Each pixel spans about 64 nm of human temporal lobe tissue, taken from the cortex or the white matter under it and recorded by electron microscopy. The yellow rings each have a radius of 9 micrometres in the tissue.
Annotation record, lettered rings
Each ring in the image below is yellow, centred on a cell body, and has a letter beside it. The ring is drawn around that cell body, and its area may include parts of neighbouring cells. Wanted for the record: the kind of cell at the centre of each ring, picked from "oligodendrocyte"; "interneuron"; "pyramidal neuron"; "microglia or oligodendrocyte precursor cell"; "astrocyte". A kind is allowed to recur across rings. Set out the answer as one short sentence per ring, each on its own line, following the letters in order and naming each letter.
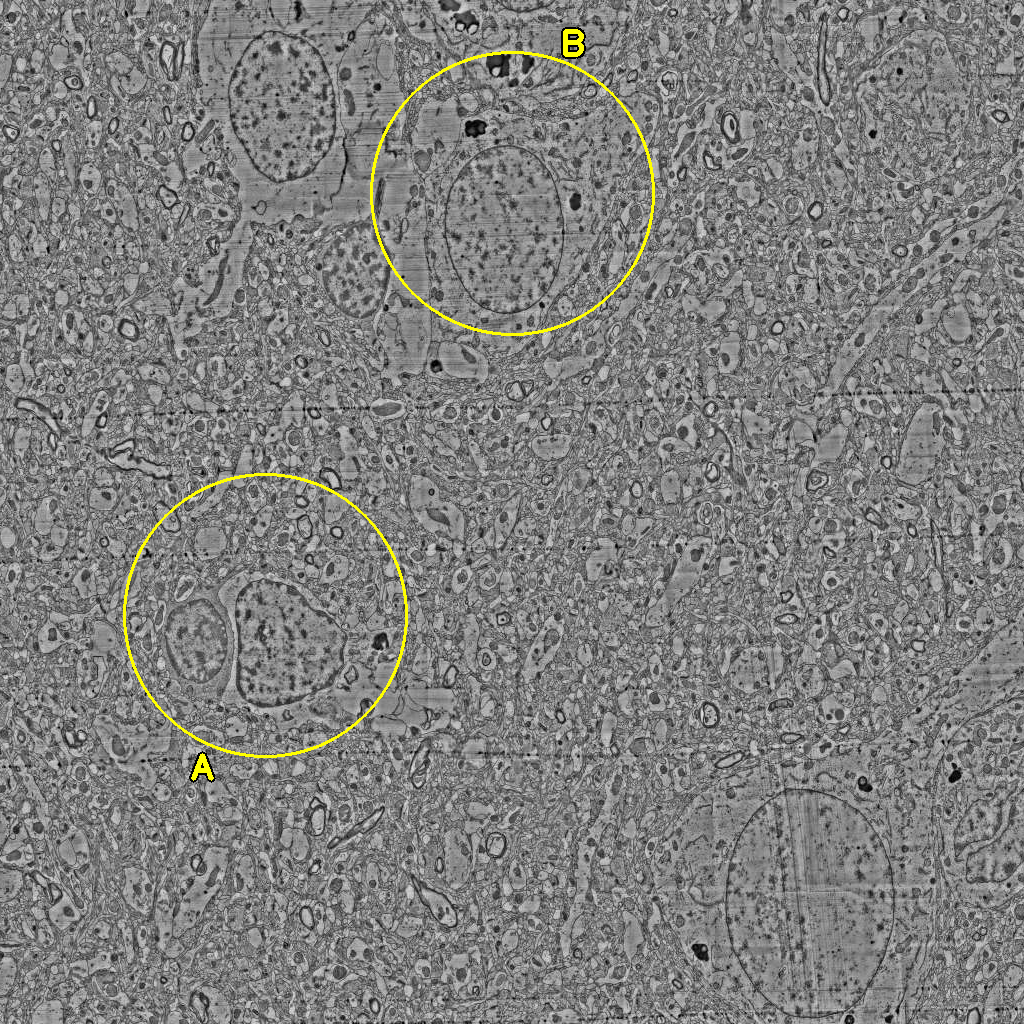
Ring A was drawn on a microglial cell or oligodendrocyte precursor cell.
Ring B was drawn on a pyramidal neuron.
